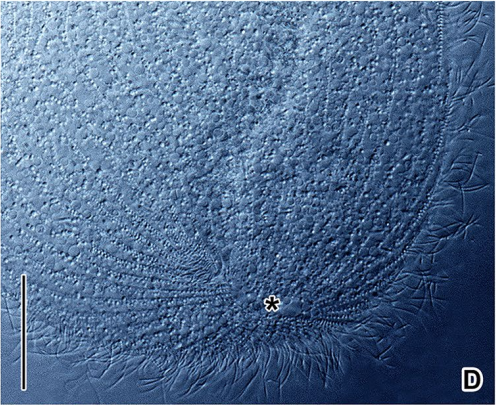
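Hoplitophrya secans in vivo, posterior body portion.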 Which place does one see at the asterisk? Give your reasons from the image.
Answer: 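The ciliary rows converge toward the rear end of the cell. The rows stop short of the posterior pole, leaving a small area free of rows at the asterisk. So: small blank field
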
